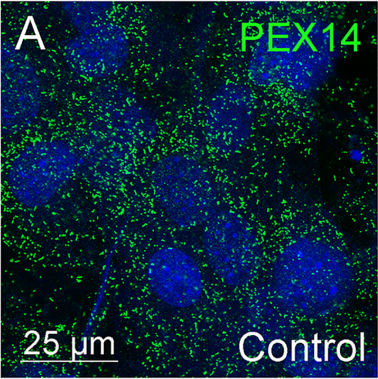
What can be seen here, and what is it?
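Cell borders are not distinct; the nuclei lie close to one another, several touching or nearly so, and green particles also overlie the nuclear regions. Darker patches of cytoplasm with fewer particles lie between some nuclei.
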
